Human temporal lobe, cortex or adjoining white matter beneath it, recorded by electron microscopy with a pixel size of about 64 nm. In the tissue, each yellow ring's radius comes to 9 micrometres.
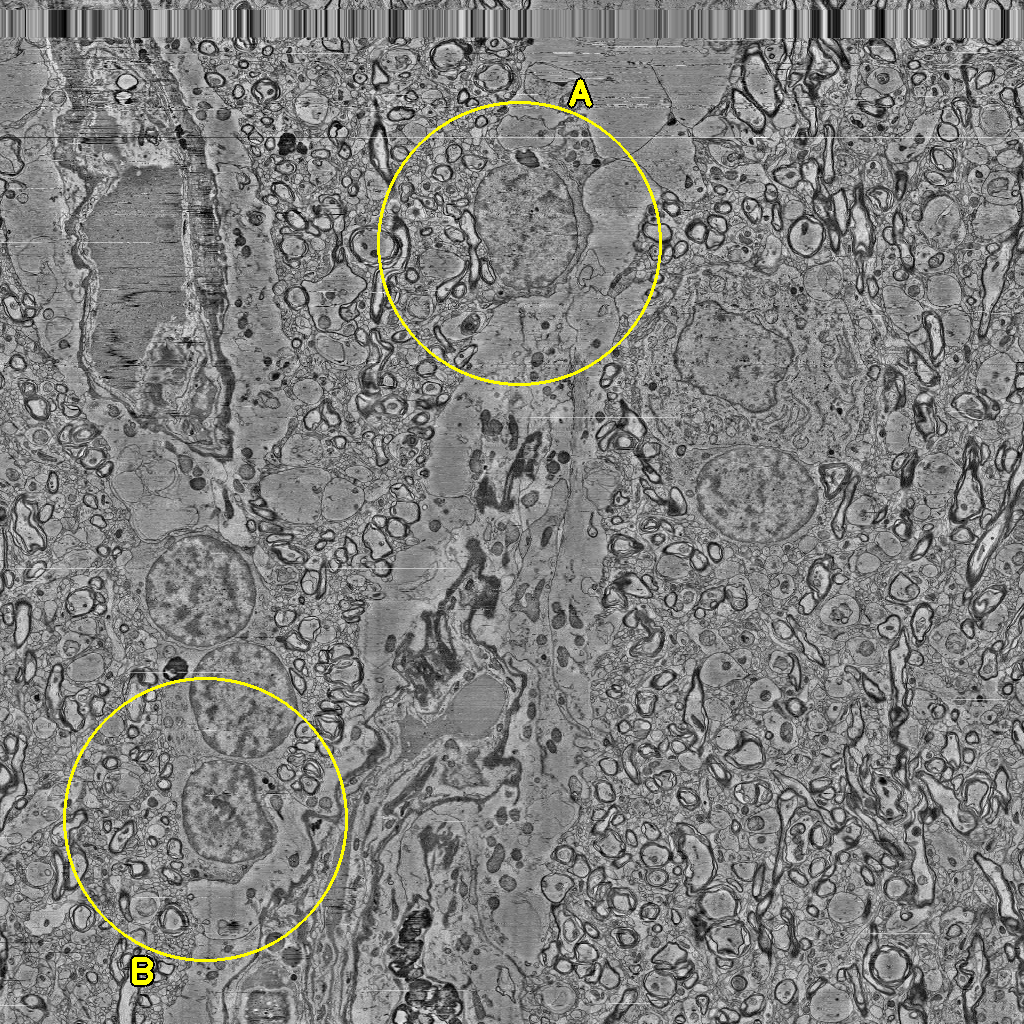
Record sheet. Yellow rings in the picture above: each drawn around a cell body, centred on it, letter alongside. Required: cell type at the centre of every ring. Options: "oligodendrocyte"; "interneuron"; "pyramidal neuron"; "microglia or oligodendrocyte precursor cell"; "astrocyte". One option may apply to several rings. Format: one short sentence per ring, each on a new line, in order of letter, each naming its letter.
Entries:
Ring A contains an oligodendrocyte at the centre.
Ring B contains an oligodendrocyte at the centre.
